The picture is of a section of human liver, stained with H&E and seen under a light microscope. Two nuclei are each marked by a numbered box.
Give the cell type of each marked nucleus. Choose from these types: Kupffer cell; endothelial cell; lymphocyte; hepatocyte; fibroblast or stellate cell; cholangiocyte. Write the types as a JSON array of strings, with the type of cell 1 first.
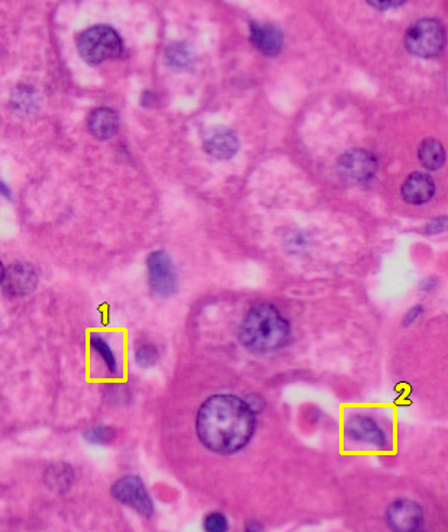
["fibroblast or stellate cell", "Kupffer cell"]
